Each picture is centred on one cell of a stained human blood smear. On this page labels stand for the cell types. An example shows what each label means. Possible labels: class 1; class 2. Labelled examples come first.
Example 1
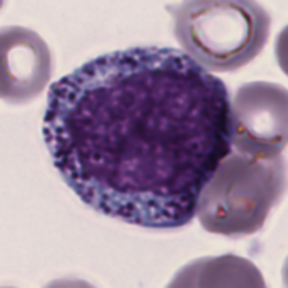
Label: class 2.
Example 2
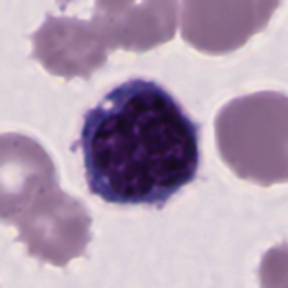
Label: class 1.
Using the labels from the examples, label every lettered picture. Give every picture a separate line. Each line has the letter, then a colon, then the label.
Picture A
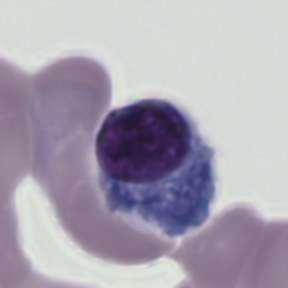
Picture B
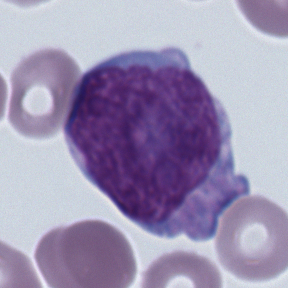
A: class 1.
B: class 2.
